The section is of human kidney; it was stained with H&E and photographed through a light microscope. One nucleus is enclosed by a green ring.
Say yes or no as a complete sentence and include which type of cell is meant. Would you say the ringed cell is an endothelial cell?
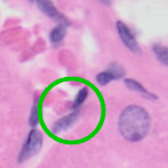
Yes, to name the ringed cell an endothelial cell is correct.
